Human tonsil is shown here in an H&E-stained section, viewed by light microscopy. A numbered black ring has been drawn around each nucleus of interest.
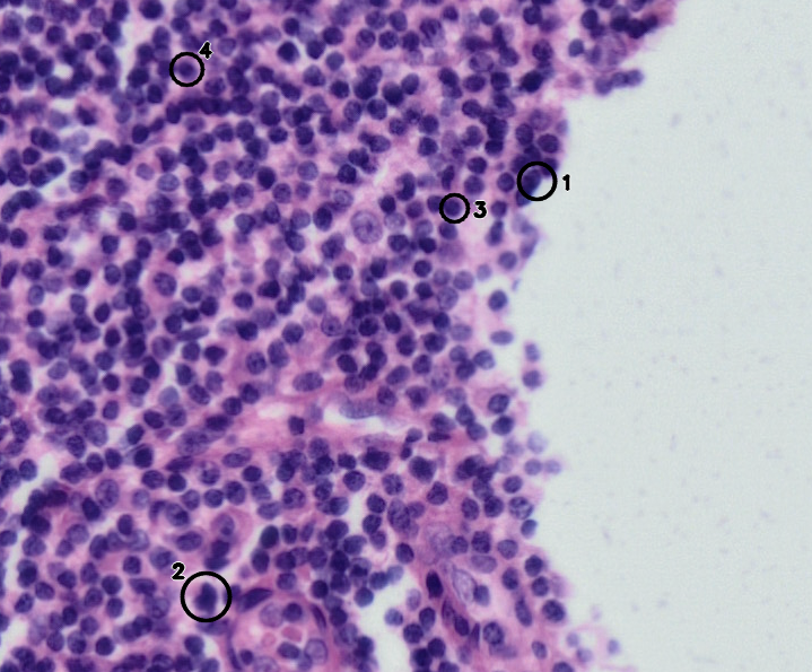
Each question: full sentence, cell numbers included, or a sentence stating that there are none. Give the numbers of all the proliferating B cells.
Just the cell marked 2 is a proliferating B cell; none of the other marked cells is.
